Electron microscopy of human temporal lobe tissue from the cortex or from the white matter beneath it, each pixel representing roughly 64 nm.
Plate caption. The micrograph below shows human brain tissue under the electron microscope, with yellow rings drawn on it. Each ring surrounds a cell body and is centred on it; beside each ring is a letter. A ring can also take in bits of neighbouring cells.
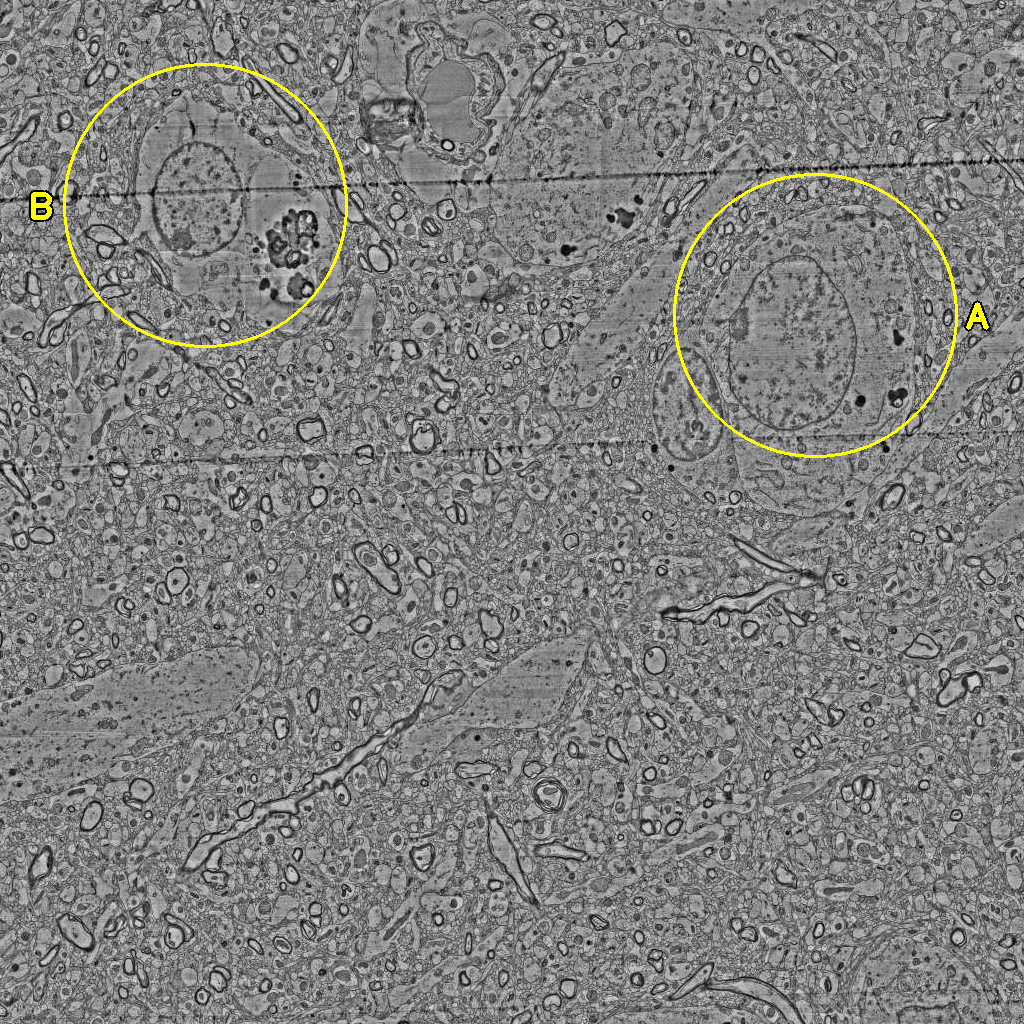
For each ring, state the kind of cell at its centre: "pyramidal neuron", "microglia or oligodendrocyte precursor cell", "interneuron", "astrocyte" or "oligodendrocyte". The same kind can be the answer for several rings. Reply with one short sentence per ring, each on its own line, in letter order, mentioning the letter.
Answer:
Ring A is drawn around a pyramidal neuron.
Ring B is drawn around an astrocyte.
